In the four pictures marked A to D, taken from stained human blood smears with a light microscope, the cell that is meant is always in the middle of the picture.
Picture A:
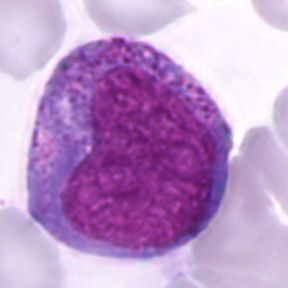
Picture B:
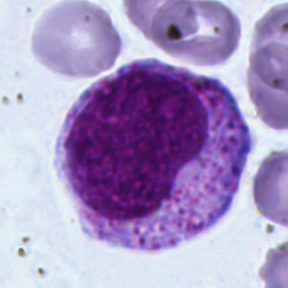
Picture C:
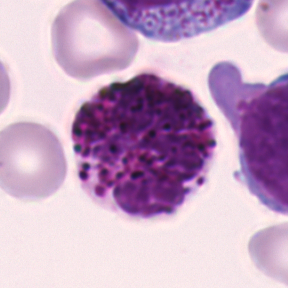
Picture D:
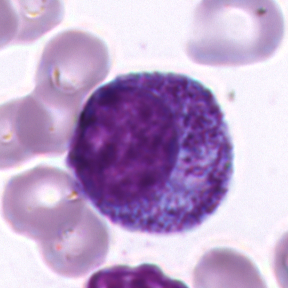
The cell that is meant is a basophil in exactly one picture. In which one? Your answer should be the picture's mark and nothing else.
C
